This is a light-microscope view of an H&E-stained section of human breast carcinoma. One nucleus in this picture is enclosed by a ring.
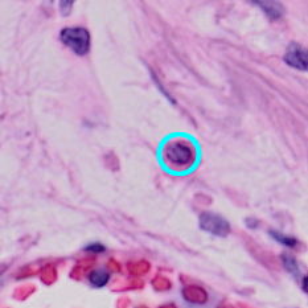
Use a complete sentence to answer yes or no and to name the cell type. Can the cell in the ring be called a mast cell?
Yes, the cell in the ring counts as a mast cell in this tissue.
